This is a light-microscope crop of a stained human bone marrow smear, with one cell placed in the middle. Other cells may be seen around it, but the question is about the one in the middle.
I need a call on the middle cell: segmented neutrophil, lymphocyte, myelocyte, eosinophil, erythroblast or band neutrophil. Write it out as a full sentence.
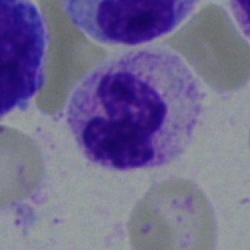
The cell around which this crop is centred is a band neutrophil.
